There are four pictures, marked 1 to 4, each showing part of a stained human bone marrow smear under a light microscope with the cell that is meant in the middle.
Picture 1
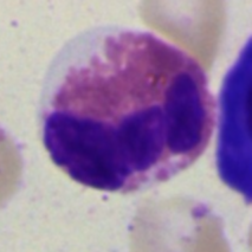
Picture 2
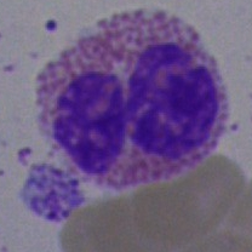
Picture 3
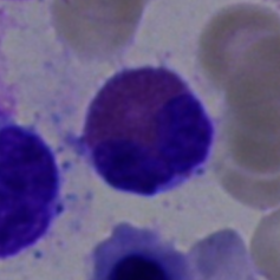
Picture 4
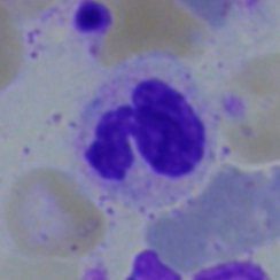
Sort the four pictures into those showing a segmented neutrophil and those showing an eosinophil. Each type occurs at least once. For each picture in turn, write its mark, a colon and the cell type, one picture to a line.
1: eosinophil
2: eosinophil
3: eosinophil
4: segmented neutrophil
